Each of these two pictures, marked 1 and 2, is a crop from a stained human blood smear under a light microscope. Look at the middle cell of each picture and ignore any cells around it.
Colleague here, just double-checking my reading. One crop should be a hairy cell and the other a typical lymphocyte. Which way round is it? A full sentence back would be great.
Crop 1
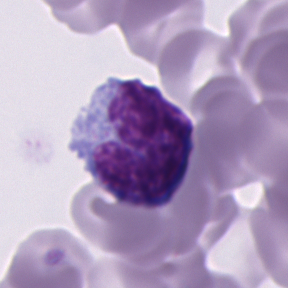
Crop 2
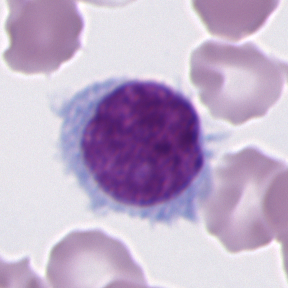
So, crop 1 is a typical lymphocyte, and crop 2 is a hairy cell.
